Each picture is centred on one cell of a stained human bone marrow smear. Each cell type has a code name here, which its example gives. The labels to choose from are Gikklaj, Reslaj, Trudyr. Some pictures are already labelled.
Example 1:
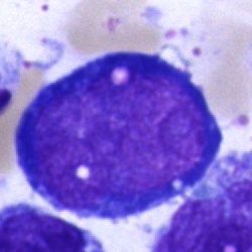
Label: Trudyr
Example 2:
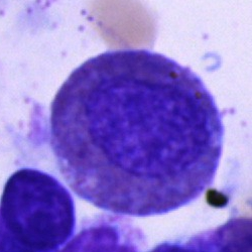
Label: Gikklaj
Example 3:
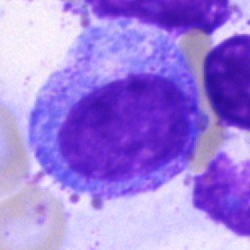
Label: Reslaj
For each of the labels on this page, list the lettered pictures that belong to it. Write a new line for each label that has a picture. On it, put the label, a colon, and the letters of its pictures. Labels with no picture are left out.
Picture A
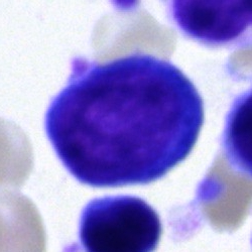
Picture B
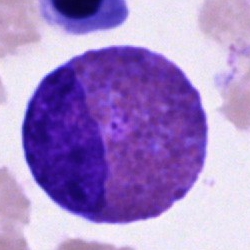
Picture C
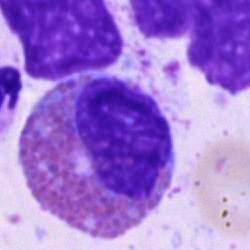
Gikklaj: B, C
Trudyr: A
